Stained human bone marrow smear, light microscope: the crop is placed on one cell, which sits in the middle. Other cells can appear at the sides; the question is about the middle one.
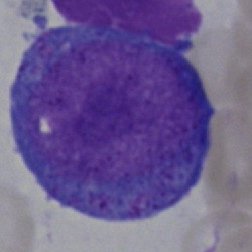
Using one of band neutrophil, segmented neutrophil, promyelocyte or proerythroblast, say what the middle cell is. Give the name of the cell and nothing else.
proerythroblast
